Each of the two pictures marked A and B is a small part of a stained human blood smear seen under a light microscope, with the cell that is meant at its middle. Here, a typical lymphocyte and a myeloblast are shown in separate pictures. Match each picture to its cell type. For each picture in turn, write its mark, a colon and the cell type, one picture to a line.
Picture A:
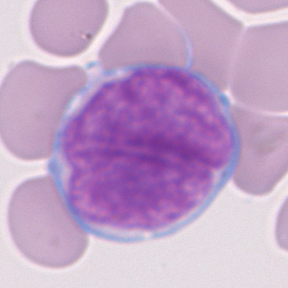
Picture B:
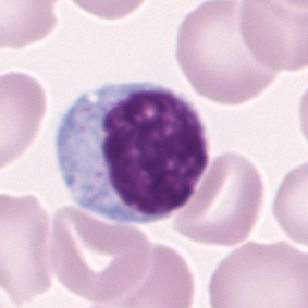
A: myeloblast
B: typical lymphocyte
